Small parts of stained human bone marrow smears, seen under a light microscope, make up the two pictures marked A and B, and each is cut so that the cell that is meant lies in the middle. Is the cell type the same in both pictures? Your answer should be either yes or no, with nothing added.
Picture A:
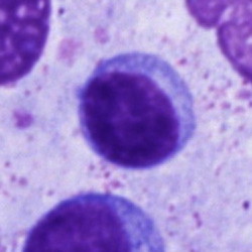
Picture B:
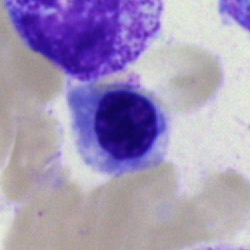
no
